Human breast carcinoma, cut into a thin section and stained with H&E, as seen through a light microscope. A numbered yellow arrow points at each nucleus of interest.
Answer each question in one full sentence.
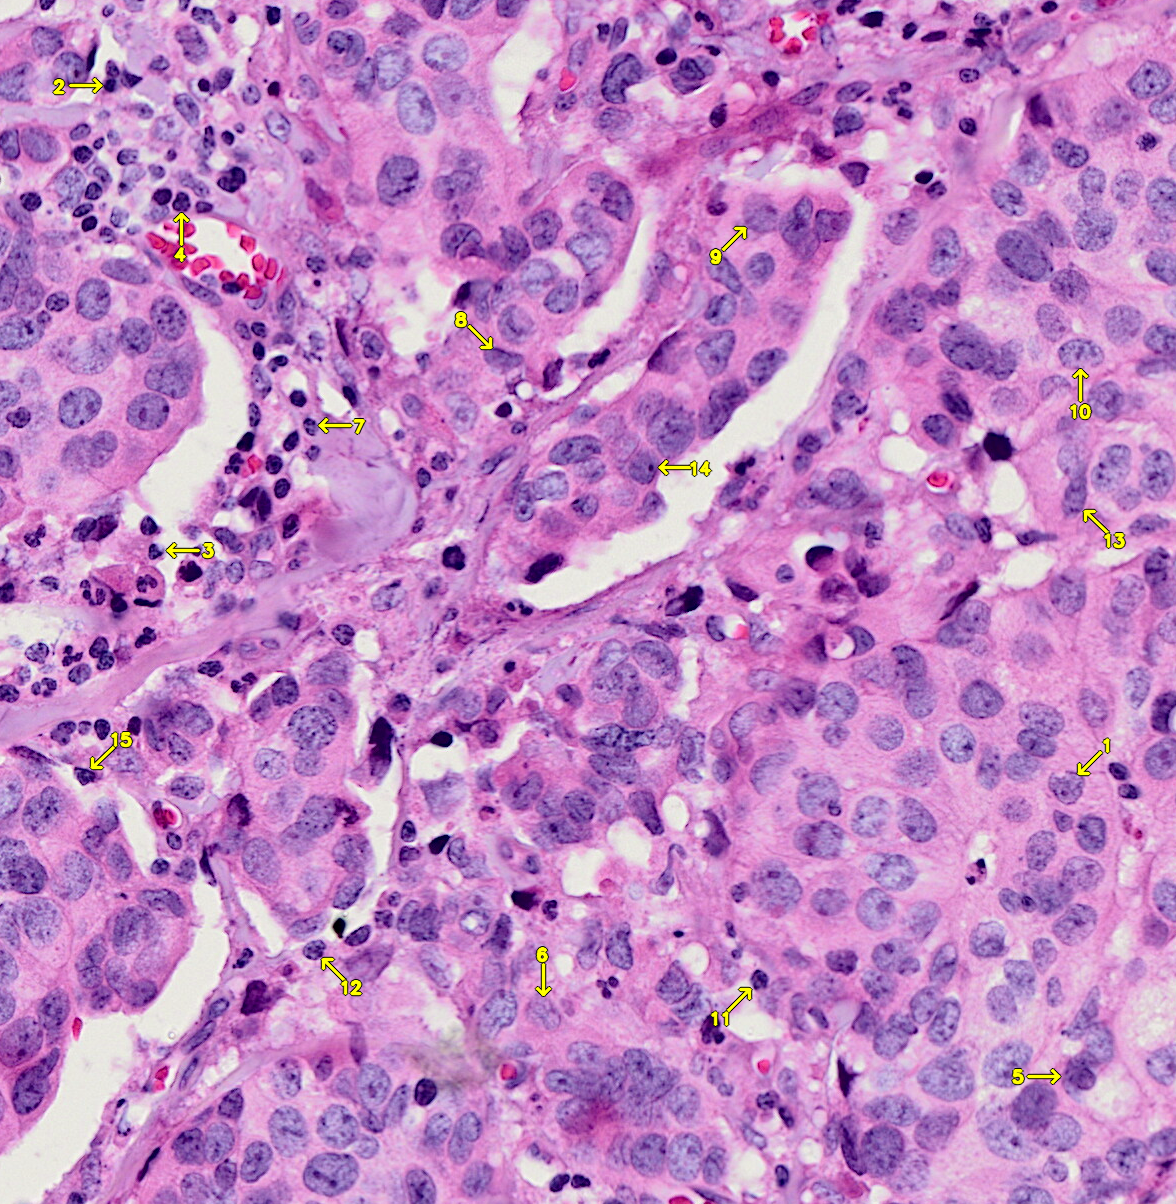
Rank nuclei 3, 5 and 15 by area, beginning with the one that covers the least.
From smallest to largest, the order is 3, 15, 5.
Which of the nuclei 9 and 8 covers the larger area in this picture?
It is nucleus 9, which covers about 1.5 times the area of nucleus 8.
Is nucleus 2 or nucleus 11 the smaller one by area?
Nucleus 2 is the smaller one; nucleus 11 covers about 1.5 times its area.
